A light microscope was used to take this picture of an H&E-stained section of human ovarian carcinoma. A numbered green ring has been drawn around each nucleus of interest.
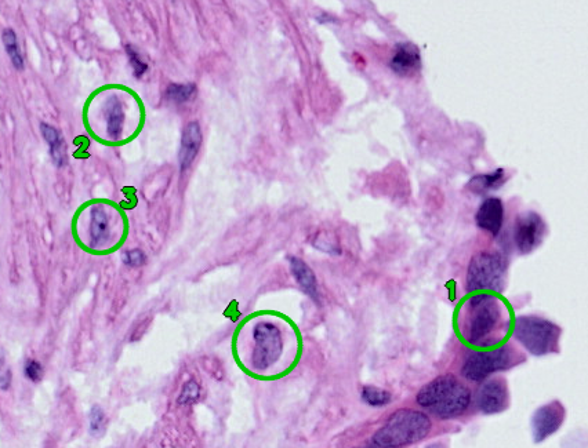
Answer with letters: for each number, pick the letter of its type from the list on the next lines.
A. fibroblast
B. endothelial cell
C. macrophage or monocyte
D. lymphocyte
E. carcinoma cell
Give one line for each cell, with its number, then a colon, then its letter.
1: E
2: A
3: A
4: C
